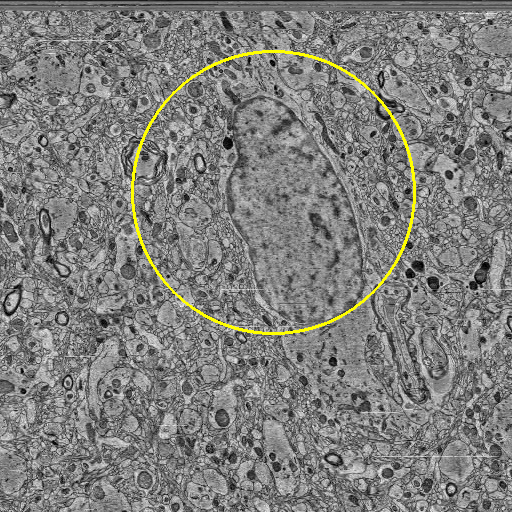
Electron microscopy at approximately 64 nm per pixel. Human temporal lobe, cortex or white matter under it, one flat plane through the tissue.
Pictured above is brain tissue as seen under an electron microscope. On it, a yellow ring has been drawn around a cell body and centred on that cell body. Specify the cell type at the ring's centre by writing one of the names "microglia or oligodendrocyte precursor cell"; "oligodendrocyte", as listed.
microglia or oligodendrocyte precursor cell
